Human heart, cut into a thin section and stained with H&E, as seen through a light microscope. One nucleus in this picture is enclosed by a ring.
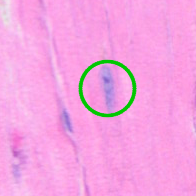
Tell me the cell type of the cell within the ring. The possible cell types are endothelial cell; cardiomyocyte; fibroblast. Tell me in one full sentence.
For the purposes of cell typing, the cell within the ring is categorized as a cardiomyocyte.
